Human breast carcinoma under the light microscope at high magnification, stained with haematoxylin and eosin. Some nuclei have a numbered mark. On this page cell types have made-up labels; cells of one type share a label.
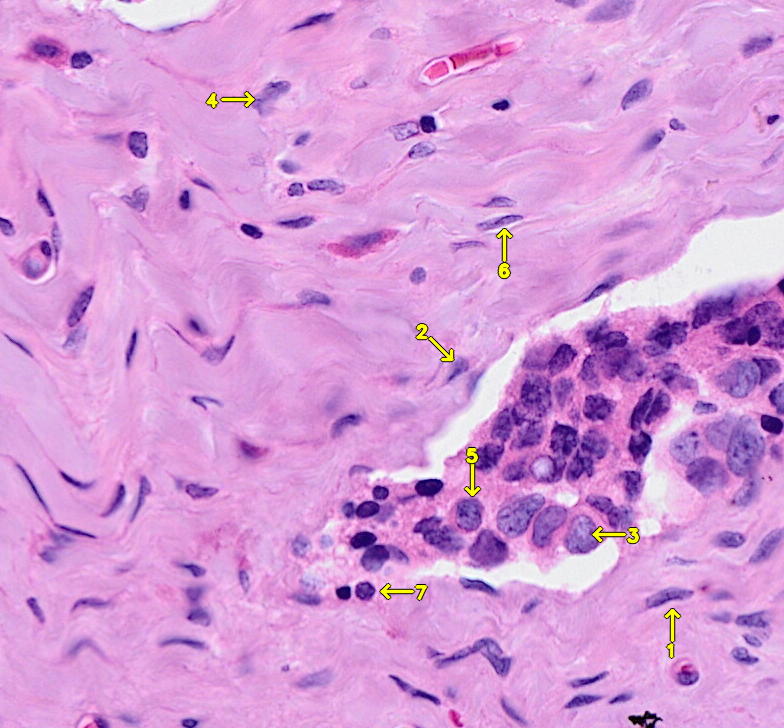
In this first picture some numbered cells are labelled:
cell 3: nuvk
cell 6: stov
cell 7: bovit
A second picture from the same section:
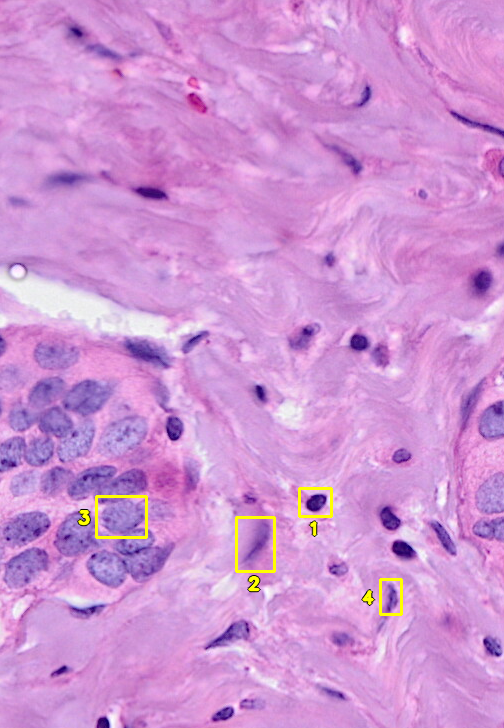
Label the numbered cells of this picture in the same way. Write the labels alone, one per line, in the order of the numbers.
bovit
stov
nuvk
stov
